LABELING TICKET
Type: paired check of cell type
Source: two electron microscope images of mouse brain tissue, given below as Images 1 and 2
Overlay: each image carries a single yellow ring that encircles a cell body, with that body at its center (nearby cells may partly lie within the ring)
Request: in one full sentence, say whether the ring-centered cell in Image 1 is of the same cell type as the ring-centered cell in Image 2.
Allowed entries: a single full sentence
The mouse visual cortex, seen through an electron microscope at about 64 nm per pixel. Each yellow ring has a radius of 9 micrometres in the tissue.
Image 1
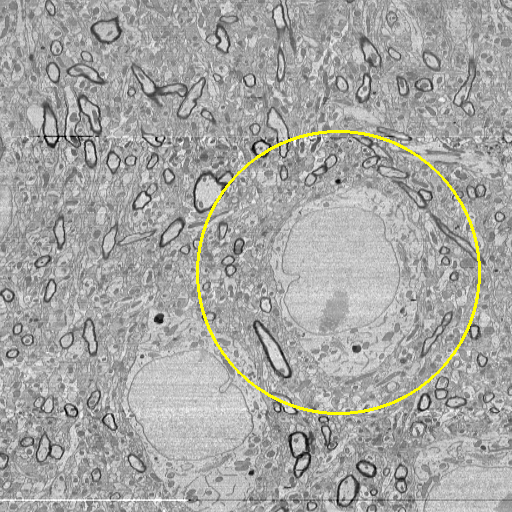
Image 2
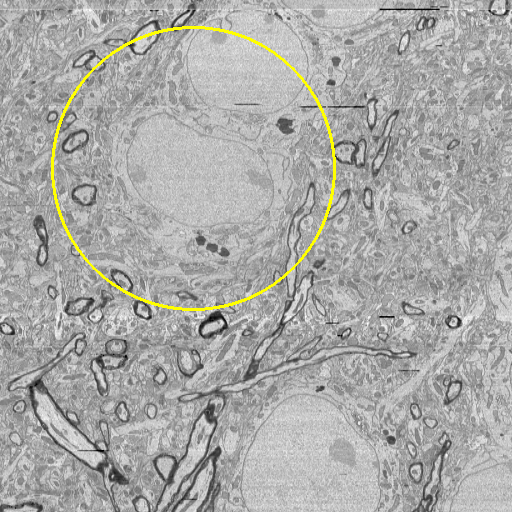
Yes, the cells centered in the rings of Image 1 and Image 2 share one type.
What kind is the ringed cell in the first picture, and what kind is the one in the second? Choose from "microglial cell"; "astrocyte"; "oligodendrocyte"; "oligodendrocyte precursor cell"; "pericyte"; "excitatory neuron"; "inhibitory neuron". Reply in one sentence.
In both pictures the ring is centred on an excitatory neuron.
